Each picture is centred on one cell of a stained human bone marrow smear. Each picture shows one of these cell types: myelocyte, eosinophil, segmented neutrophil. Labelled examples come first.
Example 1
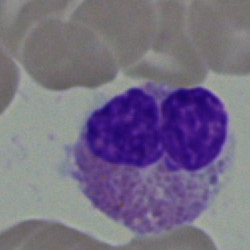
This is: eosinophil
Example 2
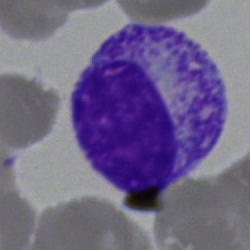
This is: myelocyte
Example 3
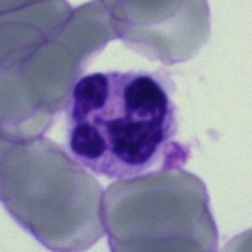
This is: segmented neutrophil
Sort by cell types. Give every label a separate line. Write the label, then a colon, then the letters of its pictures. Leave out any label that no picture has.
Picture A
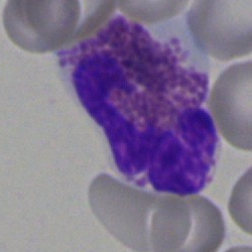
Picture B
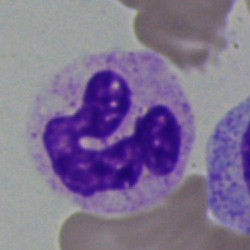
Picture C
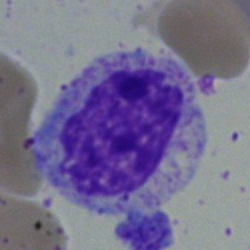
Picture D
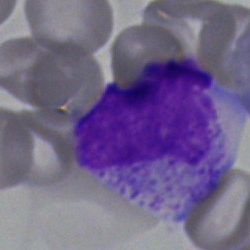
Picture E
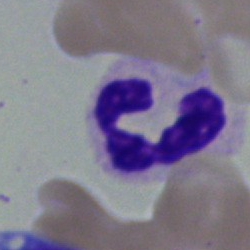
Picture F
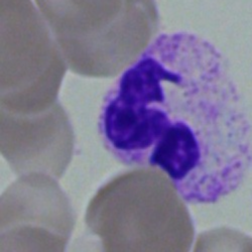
myelocyte: C, D
eosinophil: A
segmented neutrophil: B, E, F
